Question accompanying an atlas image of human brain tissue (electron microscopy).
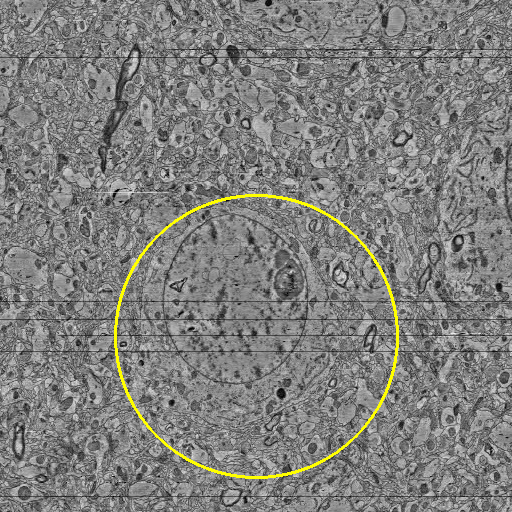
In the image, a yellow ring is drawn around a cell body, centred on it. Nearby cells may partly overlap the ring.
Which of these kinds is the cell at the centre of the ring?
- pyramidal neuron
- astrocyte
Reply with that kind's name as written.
pyramidal neuron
